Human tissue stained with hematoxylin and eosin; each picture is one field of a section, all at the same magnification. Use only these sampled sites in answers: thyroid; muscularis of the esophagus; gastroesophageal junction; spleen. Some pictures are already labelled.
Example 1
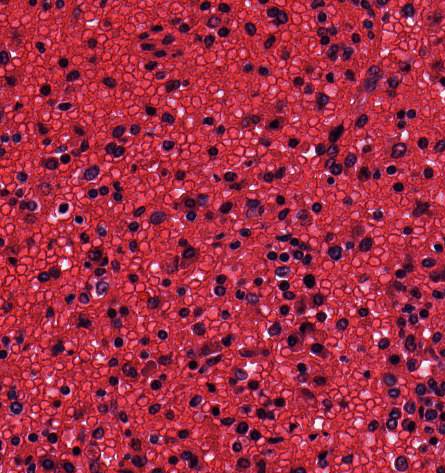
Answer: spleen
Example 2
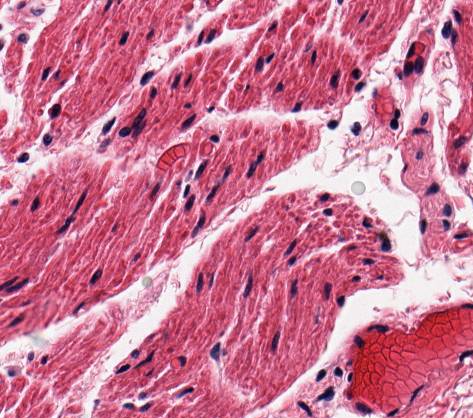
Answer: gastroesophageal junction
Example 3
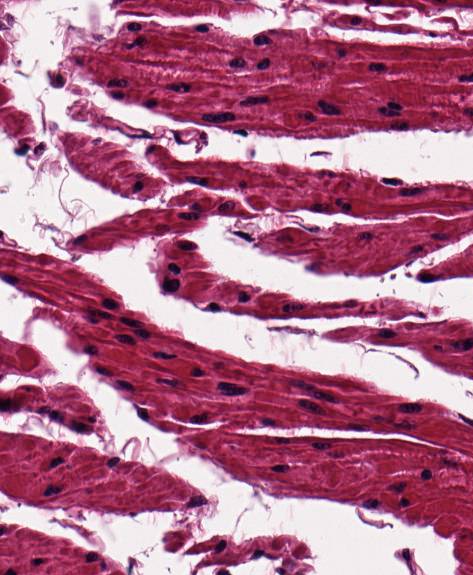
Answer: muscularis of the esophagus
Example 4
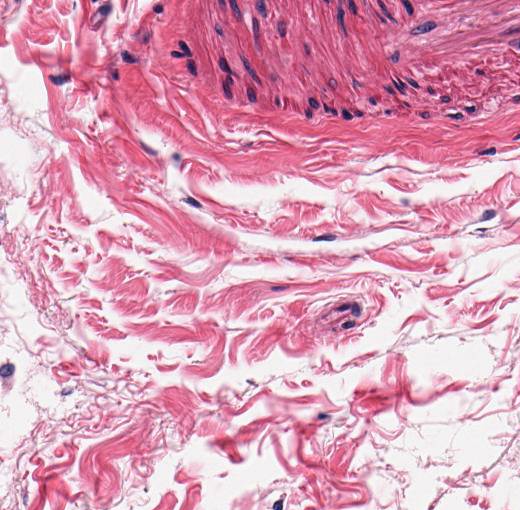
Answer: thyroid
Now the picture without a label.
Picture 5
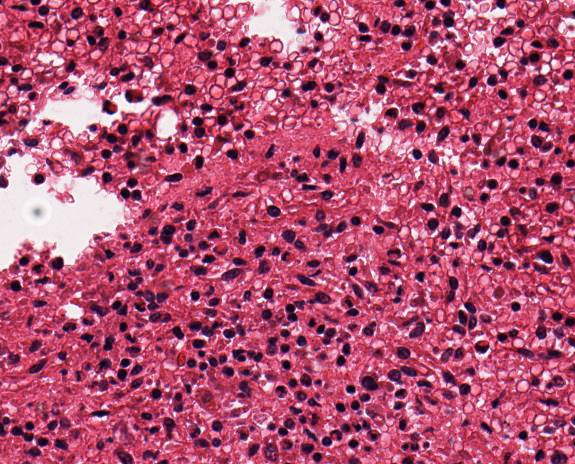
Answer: spleen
